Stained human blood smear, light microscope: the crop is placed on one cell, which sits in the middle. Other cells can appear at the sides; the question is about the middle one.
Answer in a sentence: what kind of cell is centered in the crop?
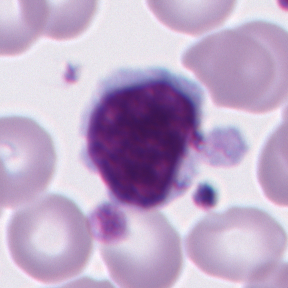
Whatever else lies nearby, the middle cell is a typical lymphocyte.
